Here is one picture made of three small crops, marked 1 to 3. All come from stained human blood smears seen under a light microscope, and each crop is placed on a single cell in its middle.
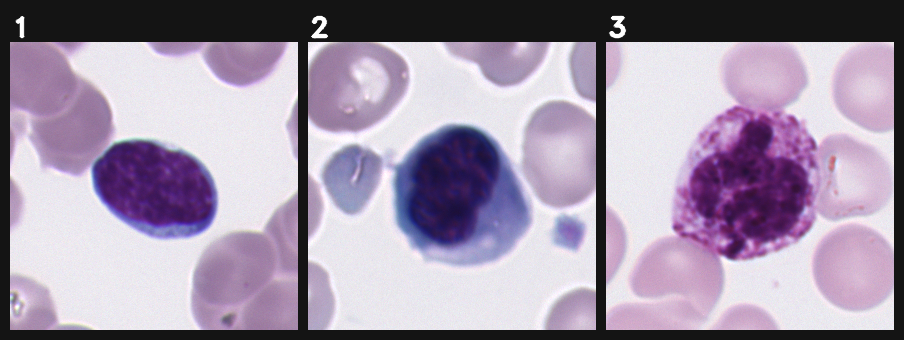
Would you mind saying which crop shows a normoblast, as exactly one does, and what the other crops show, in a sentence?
Identified in crop 2 is a normoblast, whereas crop 1 is a typical lymphocyte and crop 3 is a basophil.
